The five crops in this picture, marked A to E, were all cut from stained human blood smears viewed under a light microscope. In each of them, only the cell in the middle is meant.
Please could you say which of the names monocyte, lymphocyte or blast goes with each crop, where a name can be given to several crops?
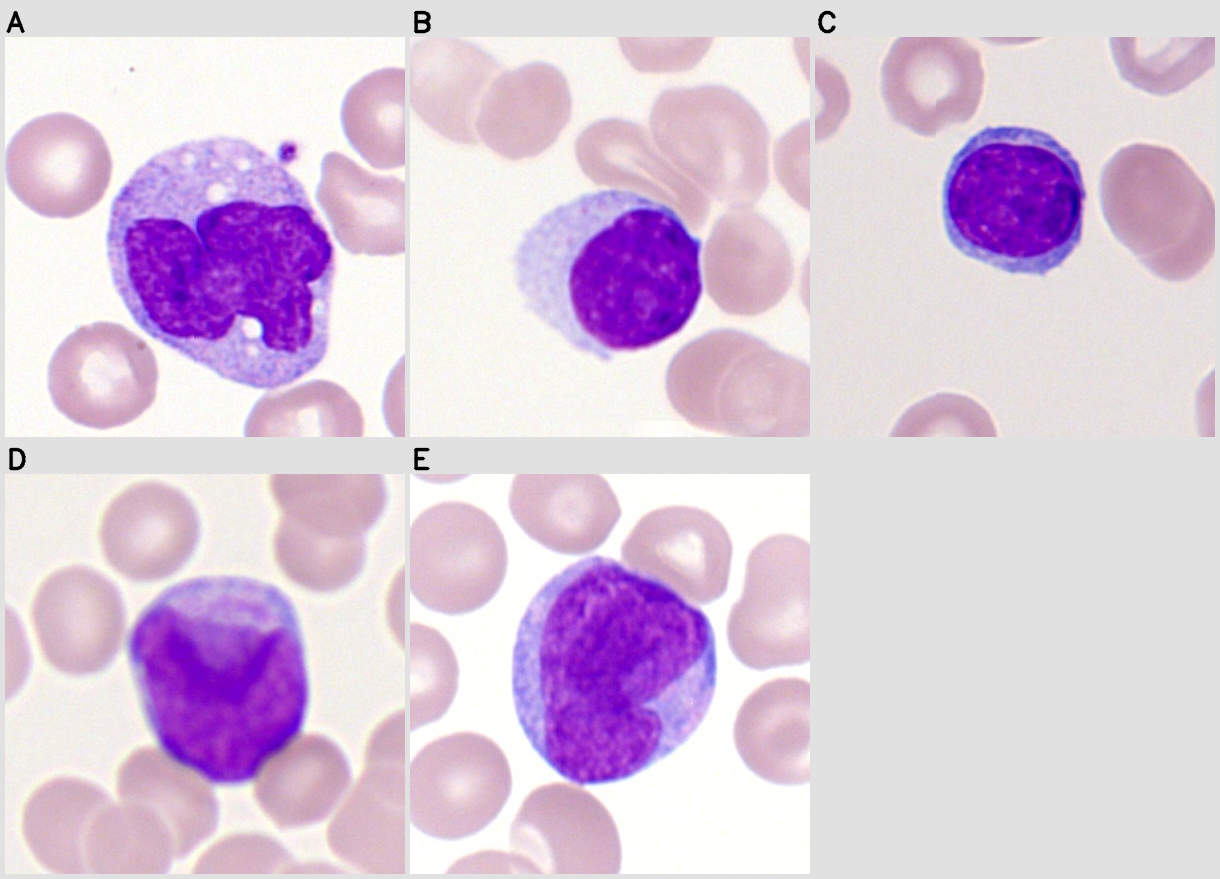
A: monocyte
B: lymphocyte
C: lymphocyte
D: blast
E: blast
